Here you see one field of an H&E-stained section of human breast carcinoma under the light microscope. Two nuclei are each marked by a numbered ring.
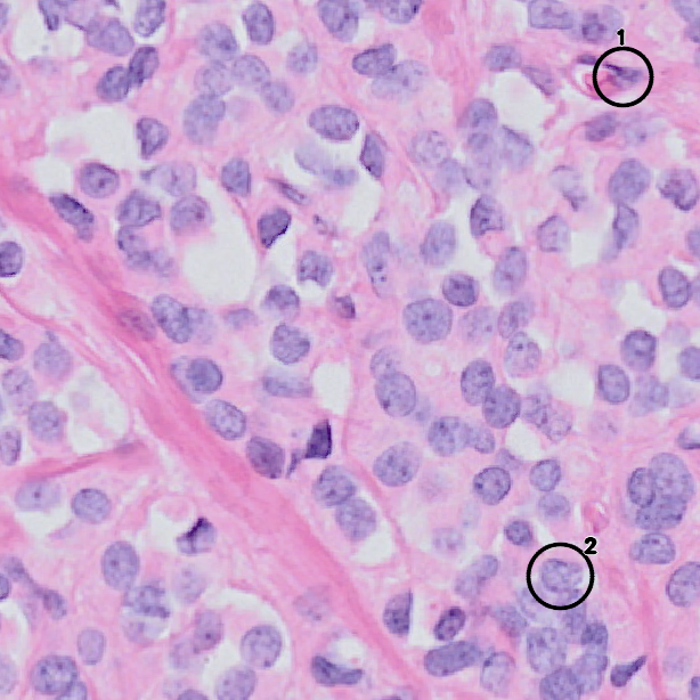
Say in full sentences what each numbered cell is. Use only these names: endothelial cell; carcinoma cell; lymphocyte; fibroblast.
Cell 1 is an endothelial cell and cell 2 is a carcinoma cell.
